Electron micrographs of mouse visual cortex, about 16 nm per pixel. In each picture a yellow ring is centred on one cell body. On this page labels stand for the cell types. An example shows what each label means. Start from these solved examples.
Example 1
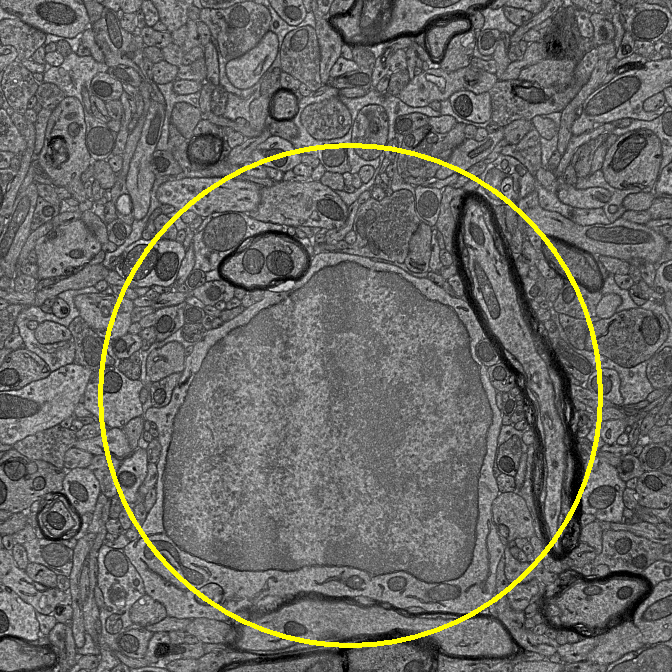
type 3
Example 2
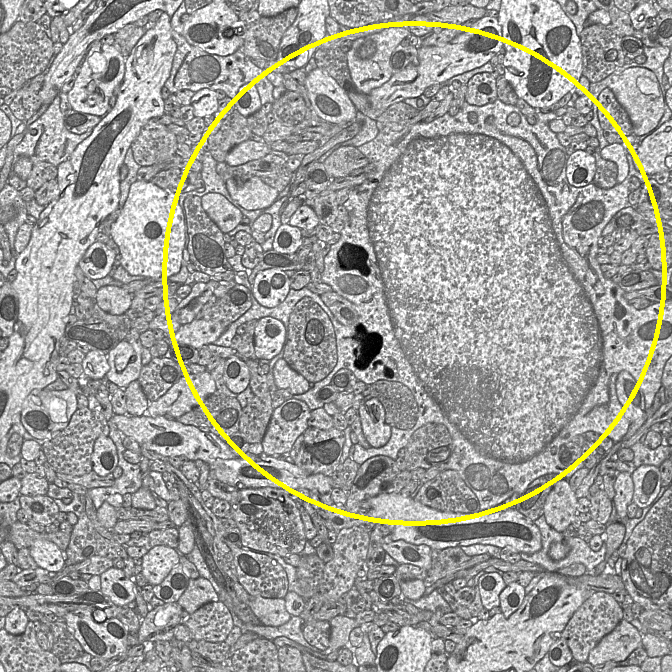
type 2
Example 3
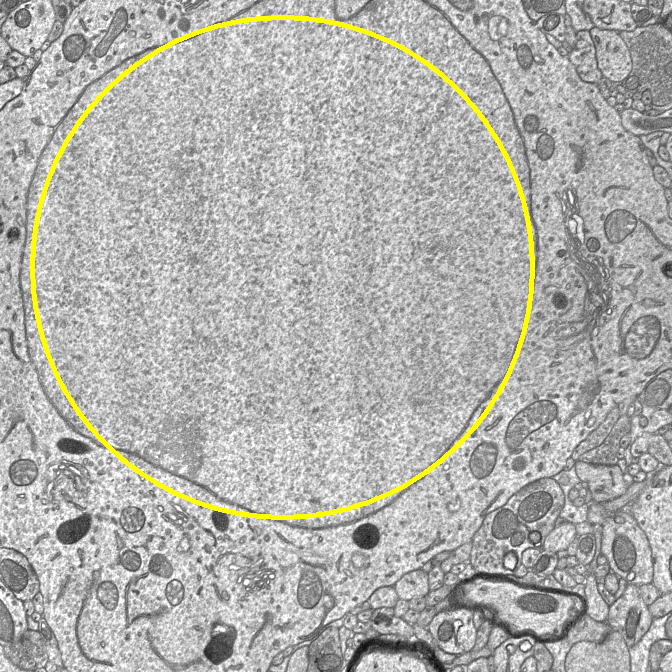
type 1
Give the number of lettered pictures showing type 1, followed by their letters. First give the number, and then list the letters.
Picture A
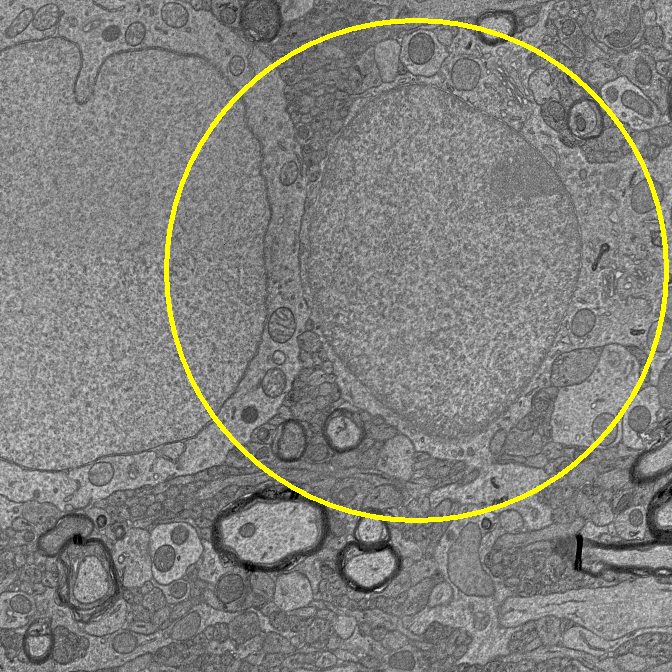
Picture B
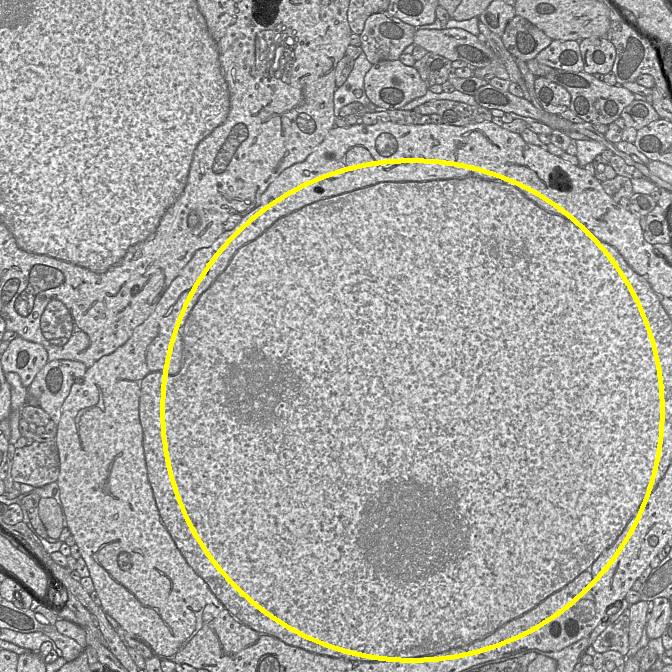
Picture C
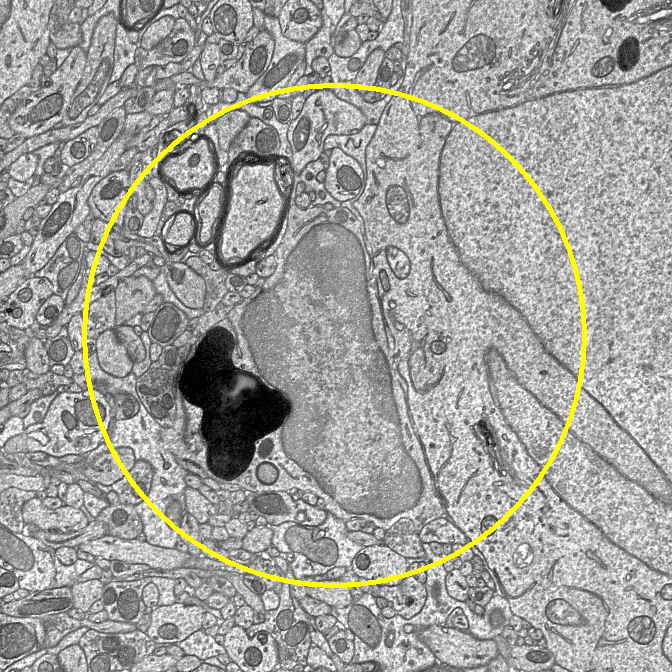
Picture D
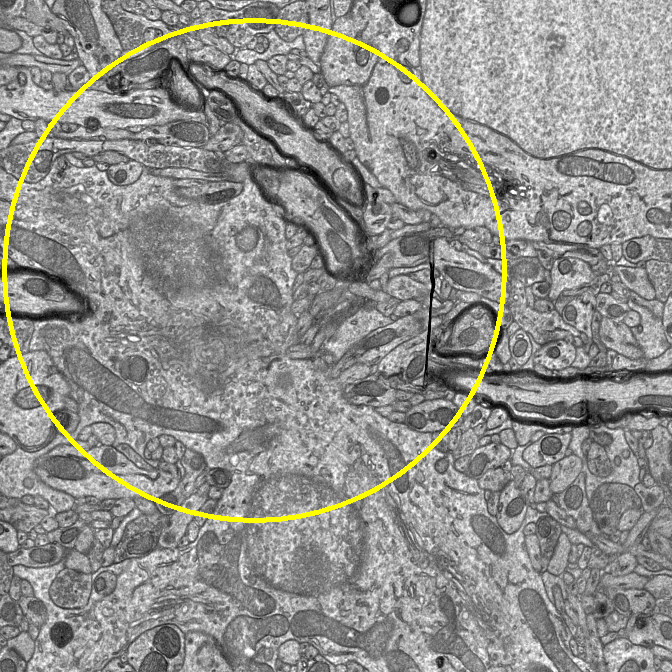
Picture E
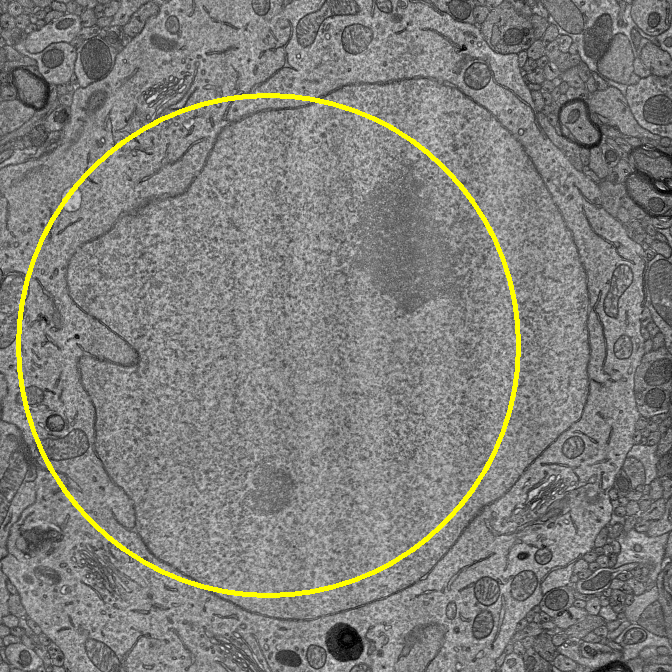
2, namely B, E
